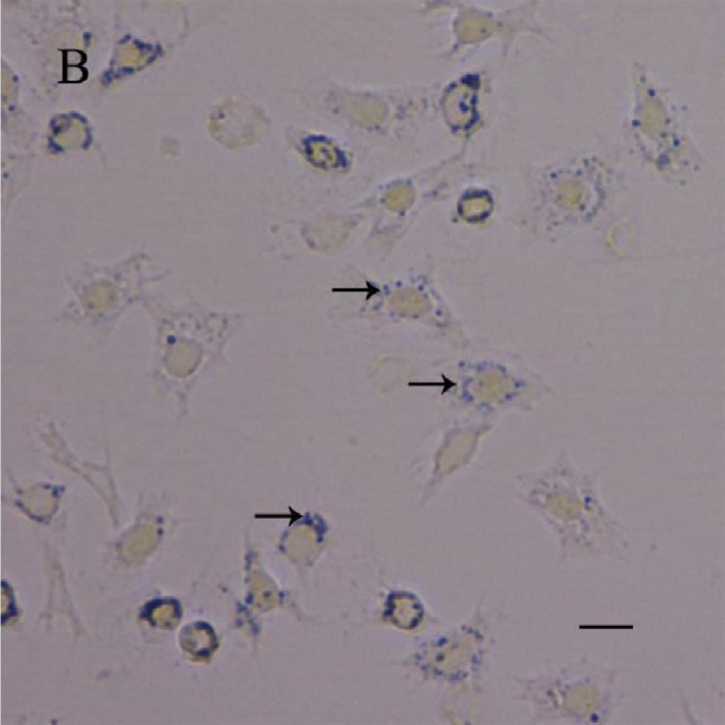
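Many cells are flattened and irregular, with thin, pale processes reaching out from a rounded, pale yellowish central body. Small dark blue granules lie scattered in the cytoplasm around that central body, mostly close to its edge. Other cells are more compact and rounded, and in these the dark blue deposit forms a dense, almost continuous rim around the pale centre. The background between the cells is clear and unstained.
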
